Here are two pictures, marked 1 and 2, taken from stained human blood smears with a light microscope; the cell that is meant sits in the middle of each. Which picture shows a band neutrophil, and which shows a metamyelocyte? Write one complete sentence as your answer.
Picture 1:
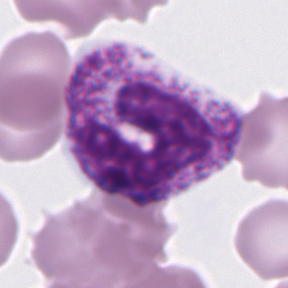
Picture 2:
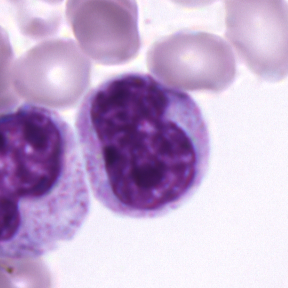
It is picture 1 that shows a band neutrophil, and picture 2 that shows a metamyelocyte.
